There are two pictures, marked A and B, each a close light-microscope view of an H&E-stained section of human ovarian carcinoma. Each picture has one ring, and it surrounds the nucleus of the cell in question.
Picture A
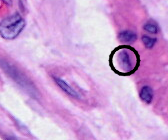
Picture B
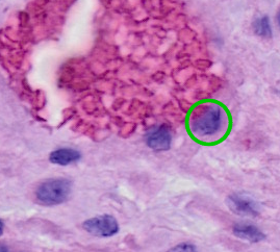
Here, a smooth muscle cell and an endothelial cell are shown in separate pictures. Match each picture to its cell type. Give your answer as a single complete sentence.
Picture B shows an endothelial cell, while picture A shows a smooth muscle cell.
